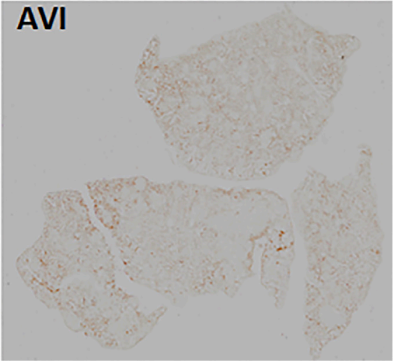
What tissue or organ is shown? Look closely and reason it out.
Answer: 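Spongy, mesh-like texture across the sections. Scattered brown-stained foci within the tissue.
Conclusion: Lung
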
